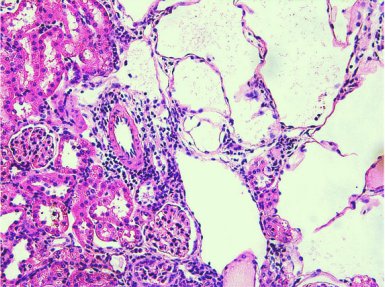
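This kidney section shows focal cysts beside preserved renal tissue. The right half is taken up by large, pale, empty cavities with thin pink walls lined by flattened cells with small dark nuclei. On the left, tightly packed tubules with pink cytoplasm and round nuclei remain, together with at least one rounded glomerulus. Between the tubules and the cysts, the interstitium is widened and holds clusters of dark nuclei. The cysts are far larger than any tubular lumen around them, and their walls are much thinner than normal tubular epithelium.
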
